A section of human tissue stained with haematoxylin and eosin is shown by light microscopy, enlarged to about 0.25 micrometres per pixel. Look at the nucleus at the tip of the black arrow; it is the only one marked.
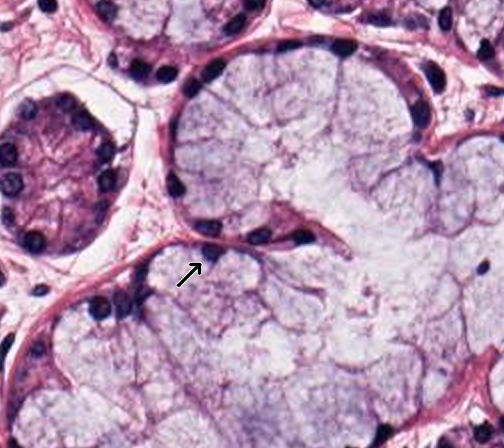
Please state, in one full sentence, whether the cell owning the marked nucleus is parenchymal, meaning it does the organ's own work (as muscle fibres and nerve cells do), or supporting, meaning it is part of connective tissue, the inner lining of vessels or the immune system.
The marked nucleus belongs to a mucous gland cell, a parenchymal cell.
